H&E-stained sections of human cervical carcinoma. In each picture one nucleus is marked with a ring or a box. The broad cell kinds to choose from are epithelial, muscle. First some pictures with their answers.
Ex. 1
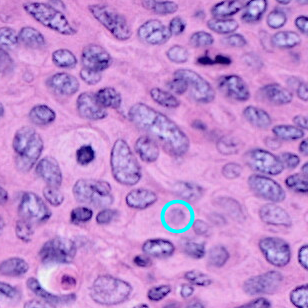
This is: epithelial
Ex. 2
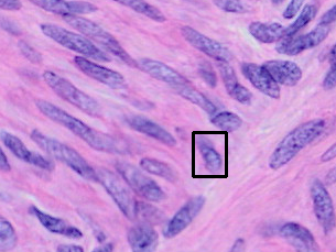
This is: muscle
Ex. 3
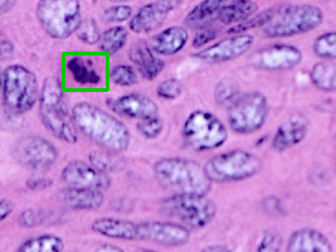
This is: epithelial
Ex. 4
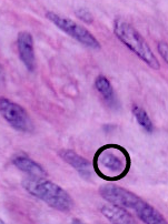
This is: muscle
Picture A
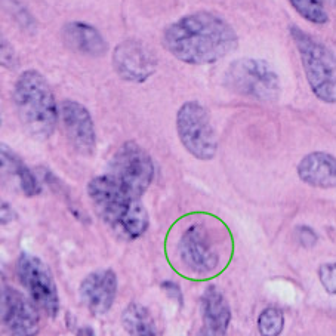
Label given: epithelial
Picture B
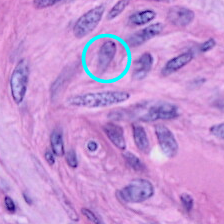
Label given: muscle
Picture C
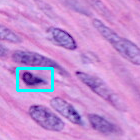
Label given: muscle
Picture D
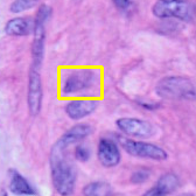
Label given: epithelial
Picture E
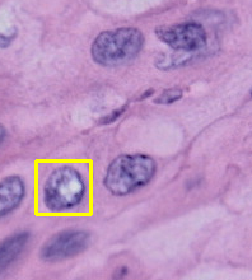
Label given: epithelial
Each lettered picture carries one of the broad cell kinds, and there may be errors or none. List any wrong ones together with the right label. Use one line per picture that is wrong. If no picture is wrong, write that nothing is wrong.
D should be muscle, not epithelial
